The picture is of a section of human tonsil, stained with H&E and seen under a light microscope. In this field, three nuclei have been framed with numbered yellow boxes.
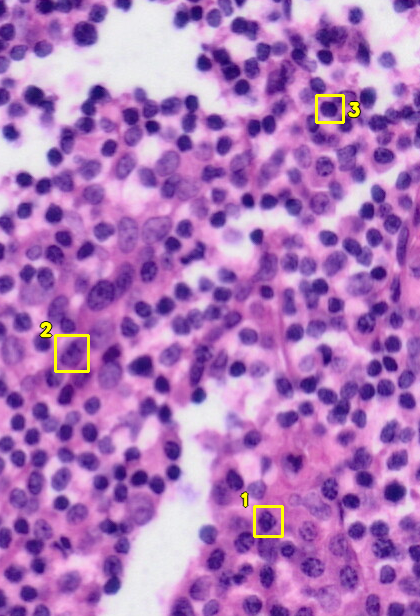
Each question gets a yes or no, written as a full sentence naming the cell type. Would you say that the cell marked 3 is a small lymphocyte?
Yes, the cell that the number 3 labels is a small lymphocyte.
